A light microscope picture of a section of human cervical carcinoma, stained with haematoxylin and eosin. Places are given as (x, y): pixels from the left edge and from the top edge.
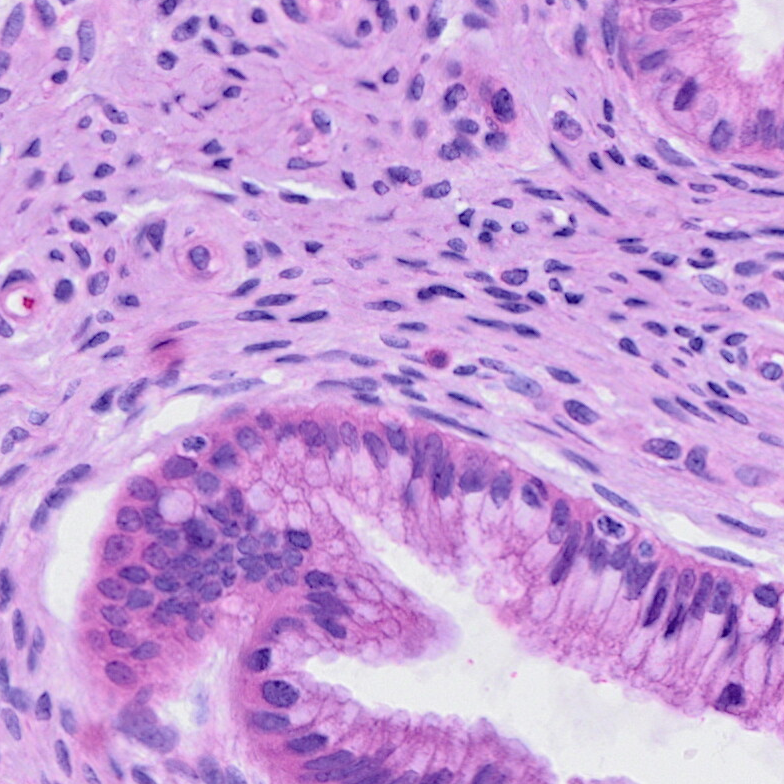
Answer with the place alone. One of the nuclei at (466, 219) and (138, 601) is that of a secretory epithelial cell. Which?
(138, 601)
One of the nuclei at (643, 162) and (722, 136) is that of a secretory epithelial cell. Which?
(722, 136)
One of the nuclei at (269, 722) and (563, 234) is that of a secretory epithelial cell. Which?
(269, 722)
